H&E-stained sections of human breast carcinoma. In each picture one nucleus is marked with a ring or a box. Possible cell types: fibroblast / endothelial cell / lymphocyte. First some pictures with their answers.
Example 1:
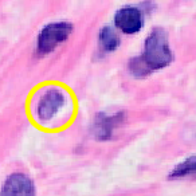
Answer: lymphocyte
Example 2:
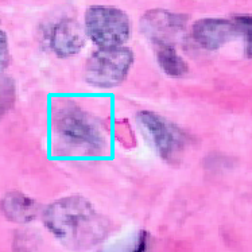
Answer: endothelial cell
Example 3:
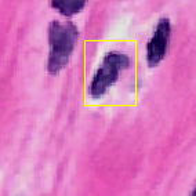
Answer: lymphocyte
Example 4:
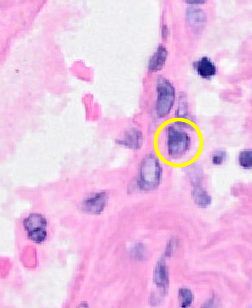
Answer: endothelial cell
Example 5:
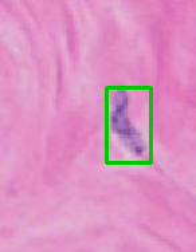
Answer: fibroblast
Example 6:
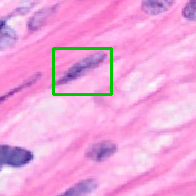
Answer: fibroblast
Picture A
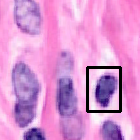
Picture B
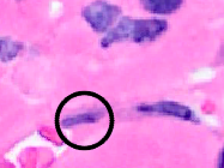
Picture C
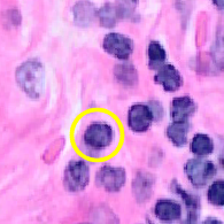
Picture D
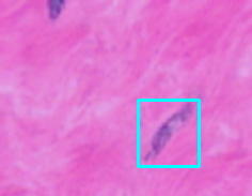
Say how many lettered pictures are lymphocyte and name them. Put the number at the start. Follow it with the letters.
Count: 2 (A, C)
